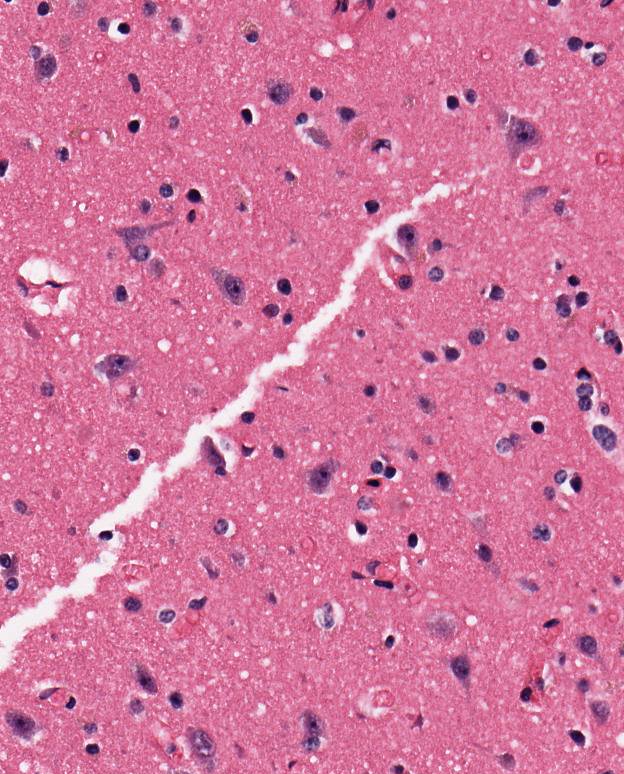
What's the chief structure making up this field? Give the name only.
cerebral cortex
